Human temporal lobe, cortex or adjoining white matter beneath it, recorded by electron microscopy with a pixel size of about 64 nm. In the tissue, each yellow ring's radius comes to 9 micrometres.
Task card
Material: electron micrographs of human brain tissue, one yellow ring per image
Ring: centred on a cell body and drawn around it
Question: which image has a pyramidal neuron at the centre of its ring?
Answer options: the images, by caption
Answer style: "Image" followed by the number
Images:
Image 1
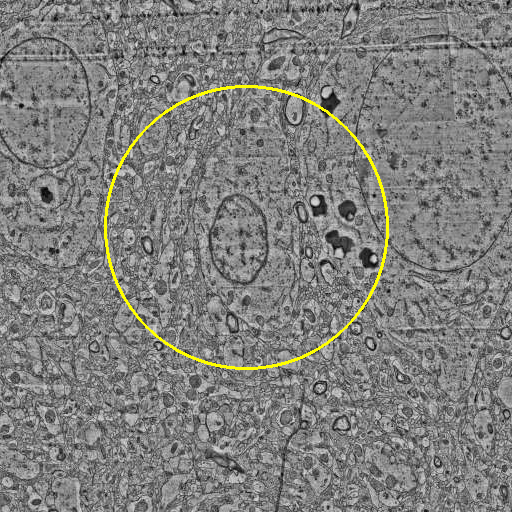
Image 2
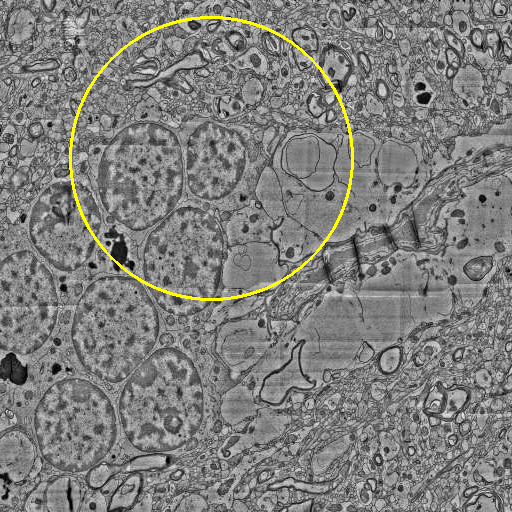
Image 1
